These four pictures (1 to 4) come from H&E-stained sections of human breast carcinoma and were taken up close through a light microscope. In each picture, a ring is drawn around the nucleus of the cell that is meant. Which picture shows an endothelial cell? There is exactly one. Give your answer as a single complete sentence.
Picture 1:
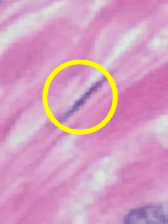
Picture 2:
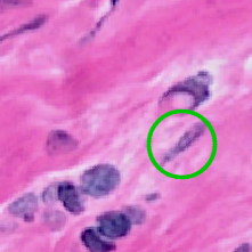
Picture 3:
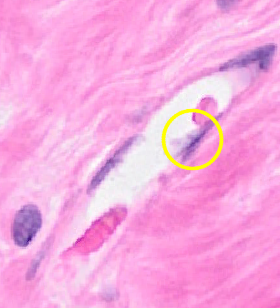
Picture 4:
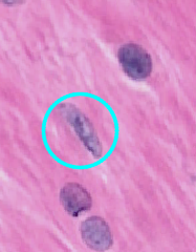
It is picture 3 that shows the endothelial cell.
